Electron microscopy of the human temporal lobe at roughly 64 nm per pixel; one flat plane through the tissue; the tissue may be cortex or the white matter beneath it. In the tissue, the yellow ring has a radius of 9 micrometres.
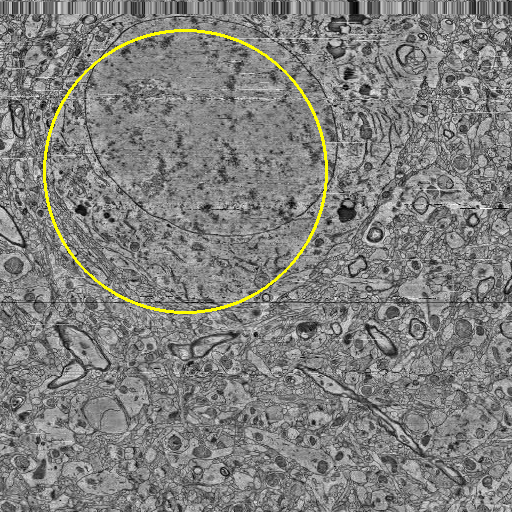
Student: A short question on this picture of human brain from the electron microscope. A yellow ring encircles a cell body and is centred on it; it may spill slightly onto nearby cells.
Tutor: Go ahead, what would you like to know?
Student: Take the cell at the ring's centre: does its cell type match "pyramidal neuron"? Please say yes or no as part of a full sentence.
Yes, in the picture, the cell at the ring's centre has that cell type.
